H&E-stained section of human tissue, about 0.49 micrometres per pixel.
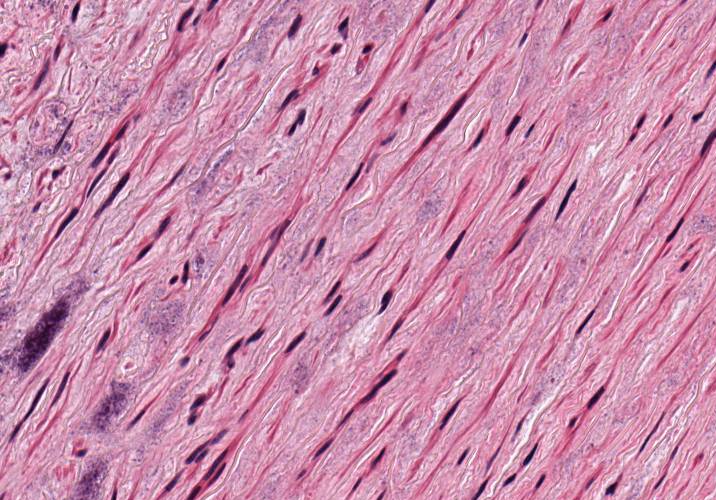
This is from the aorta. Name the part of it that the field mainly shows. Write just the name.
tunica media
